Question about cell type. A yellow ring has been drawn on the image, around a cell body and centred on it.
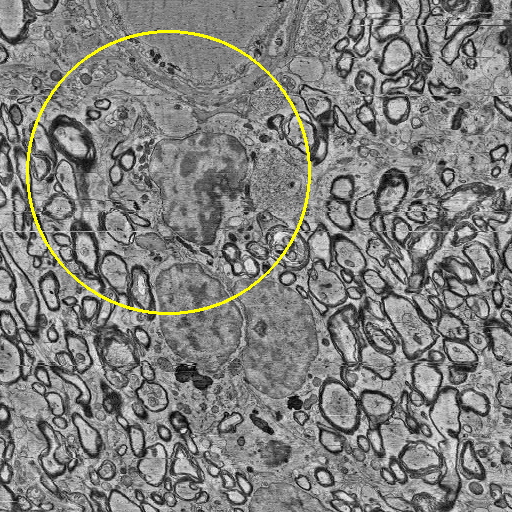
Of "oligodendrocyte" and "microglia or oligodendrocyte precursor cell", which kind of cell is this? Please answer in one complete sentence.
At the centre of the ring lies a microglial cell or oligodendrocyte precursor cell.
